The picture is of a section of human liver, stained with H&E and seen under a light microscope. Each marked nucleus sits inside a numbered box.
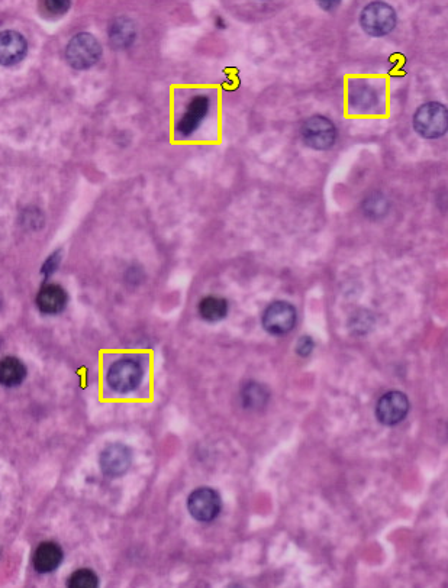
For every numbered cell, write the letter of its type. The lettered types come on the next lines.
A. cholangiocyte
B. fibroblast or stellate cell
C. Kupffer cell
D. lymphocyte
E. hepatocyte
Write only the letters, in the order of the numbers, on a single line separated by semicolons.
E; E; B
